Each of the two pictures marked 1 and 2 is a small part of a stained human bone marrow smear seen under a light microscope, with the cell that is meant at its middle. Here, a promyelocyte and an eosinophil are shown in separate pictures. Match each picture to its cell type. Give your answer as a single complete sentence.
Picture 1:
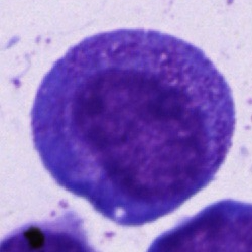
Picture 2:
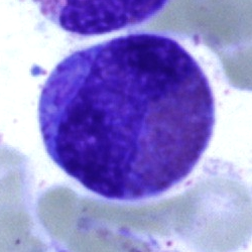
In picture 1 the cell is a promyelocyte; in picture 2, an eosinophil.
